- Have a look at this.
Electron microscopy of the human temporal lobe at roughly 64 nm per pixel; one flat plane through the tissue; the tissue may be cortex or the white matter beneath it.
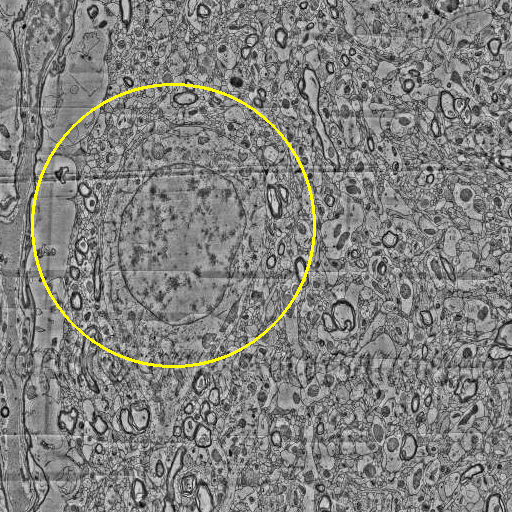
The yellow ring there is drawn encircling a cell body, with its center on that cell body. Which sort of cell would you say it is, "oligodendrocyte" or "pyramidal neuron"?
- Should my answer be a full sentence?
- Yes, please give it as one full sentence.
For this picture, a pyramidal neuron is the cell where the yellow ring has its center.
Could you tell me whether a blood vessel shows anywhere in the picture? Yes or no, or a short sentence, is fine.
Yes, there is a blood vessel.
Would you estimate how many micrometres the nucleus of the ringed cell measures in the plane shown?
About 10 micrometres by about 9 micrometres in this plane.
